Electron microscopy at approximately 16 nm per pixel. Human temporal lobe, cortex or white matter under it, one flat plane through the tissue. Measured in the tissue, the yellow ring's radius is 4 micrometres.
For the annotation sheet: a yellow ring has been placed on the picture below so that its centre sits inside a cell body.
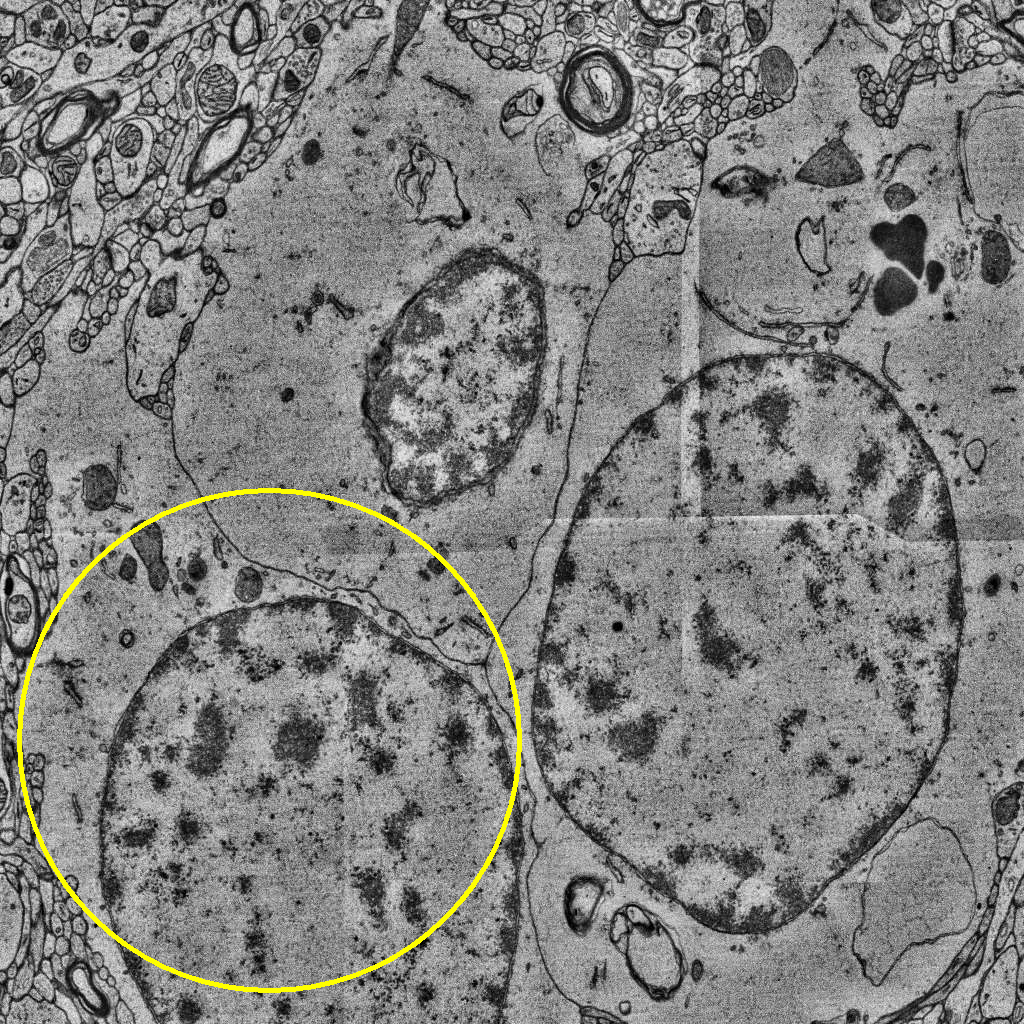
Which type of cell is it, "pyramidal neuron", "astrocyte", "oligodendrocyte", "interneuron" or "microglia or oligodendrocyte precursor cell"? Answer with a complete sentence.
The cell at the ring's centre is an astrocyte.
